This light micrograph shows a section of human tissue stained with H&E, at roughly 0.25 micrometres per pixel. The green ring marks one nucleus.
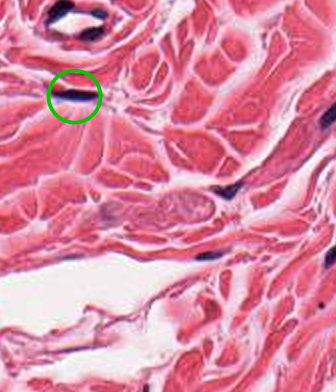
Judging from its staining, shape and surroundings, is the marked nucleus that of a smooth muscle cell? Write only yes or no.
no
